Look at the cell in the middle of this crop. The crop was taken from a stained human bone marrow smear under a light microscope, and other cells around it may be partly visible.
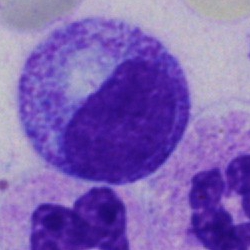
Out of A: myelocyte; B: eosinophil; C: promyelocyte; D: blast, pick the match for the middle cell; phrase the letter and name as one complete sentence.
In the centre of the crop there is a myelocyte, making option A correct.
